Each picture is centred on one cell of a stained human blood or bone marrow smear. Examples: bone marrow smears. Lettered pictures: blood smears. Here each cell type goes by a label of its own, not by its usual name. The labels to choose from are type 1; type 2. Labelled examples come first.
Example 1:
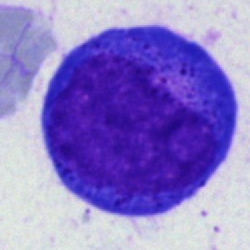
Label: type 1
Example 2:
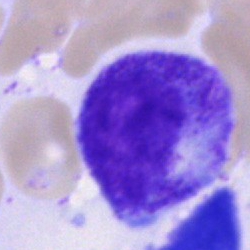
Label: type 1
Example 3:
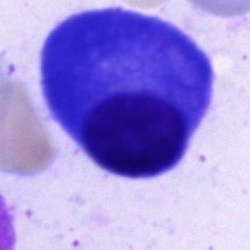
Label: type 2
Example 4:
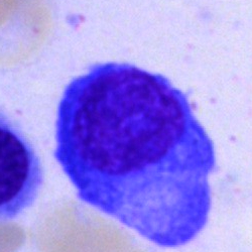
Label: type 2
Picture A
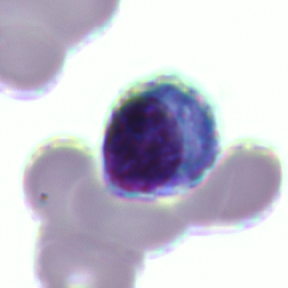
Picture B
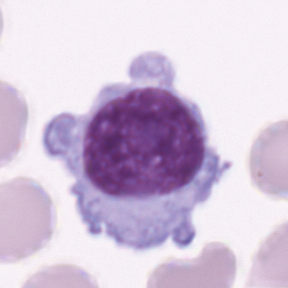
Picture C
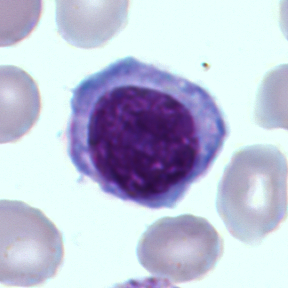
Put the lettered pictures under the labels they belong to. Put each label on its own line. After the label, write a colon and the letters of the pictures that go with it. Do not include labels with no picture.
type 2: A, B, C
